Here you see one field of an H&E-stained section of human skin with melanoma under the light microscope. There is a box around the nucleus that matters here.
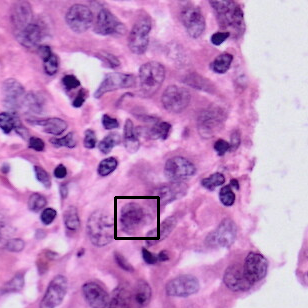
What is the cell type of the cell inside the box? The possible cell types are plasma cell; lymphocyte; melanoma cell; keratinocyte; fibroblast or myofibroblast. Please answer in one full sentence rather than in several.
In cellular terms, the cell inside the box is a melanoma cell.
